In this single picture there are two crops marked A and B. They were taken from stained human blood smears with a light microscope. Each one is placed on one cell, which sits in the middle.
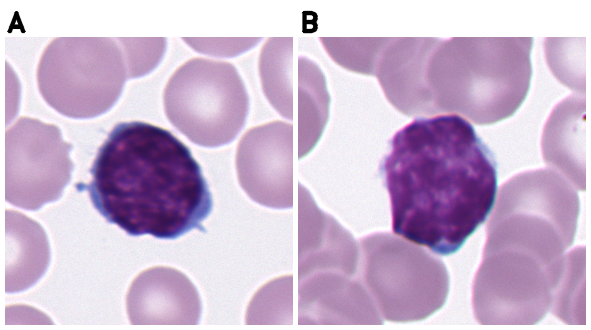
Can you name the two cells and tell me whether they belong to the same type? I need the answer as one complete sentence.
Yes, both crops show a cell each, and these are typical lymphocytes.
